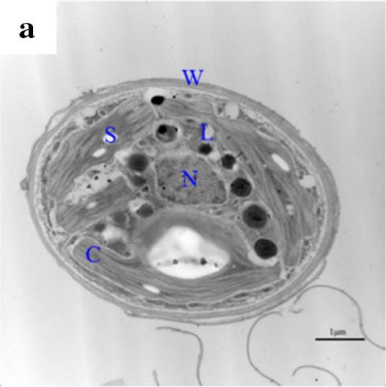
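An oval green algal cell in section, enclosed by a distinct, pale cell wall. Stacked, parallel membrane lamellae of the chloroplast run in curved bands around the periphery and between other bodies. Near the centre lies a rounded nucleus with granular contents. Below it is a large pale body with a bright centre, and several small round, strongly electron-dense droplets are scattered in the cytoplasm beside the nucleus. Small pale inclusions lie between the lamellae. The cytoplasm is densely packed, leaving little empty space inside the wall.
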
